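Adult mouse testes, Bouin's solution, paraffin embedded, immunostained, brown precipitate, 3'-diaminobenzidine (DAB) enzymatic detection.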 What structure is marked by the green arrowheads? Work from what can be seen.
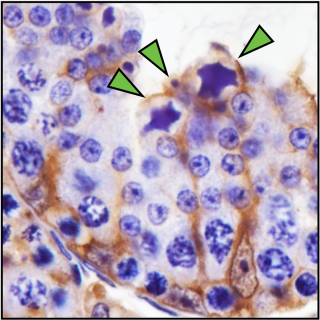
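Residual bodies/phagosomes. Arrowheads point to irregular dense dark purple masses at the luminal side. The masses are rimmed by brown stain.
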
